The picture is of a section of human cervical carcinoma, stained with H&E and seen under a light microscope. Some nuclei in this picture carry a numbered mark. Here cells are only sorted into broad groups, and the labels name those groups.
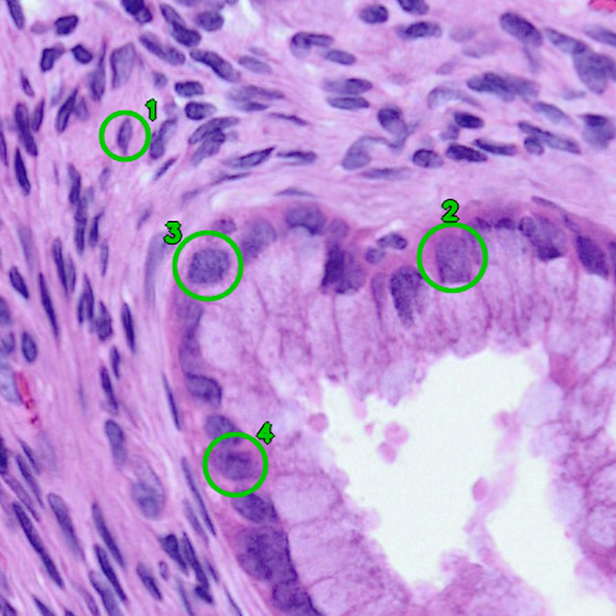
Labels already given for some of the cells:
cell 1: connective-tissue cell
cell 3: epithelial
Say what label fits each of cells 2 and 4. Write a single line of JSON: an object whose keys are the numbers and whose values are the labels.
{"2": "epithelial", "4": "epithelial"}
